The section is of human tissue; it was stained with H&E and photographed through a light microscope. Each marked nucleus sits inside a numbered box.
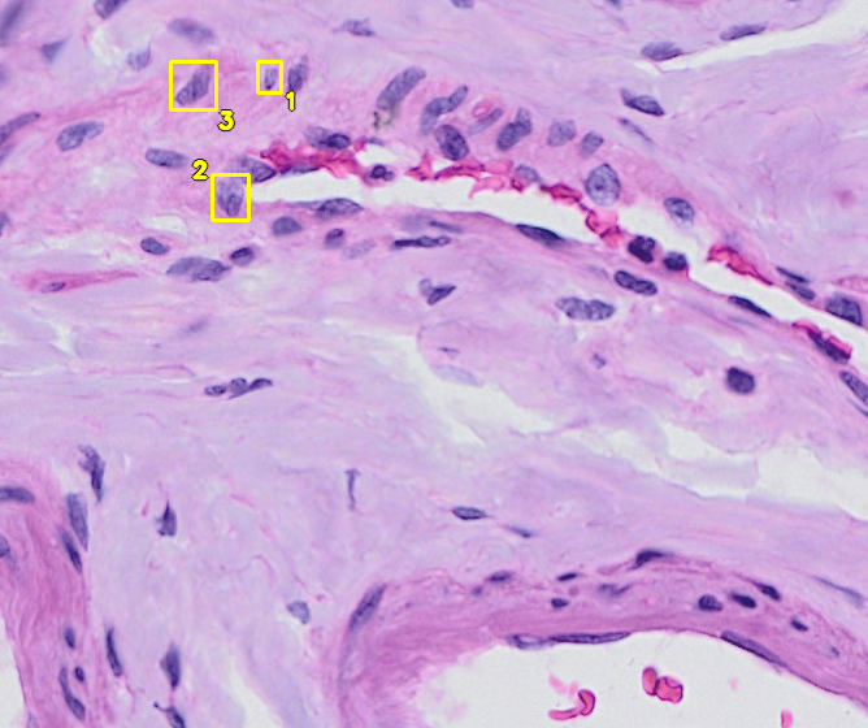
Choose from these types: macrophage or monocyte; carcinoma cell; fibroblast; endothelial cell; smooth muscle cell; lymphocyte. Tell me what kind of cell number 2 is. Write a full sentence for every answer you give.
The cell that bears the number 2 is an endothelial cell.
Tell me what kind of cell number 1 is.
The correct label for cell 1 is a smooth muscle cell.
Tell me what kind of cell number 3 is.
The cell identified by the number 3 is a smooth muscle cell.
